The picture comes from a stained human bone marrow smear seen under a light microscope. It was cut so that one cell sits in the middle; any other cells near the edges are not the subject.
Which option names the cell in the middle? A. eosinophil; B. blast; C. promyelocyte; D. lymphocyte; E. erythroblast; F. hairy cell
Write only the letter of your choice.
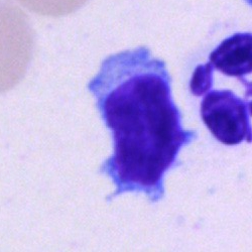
D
